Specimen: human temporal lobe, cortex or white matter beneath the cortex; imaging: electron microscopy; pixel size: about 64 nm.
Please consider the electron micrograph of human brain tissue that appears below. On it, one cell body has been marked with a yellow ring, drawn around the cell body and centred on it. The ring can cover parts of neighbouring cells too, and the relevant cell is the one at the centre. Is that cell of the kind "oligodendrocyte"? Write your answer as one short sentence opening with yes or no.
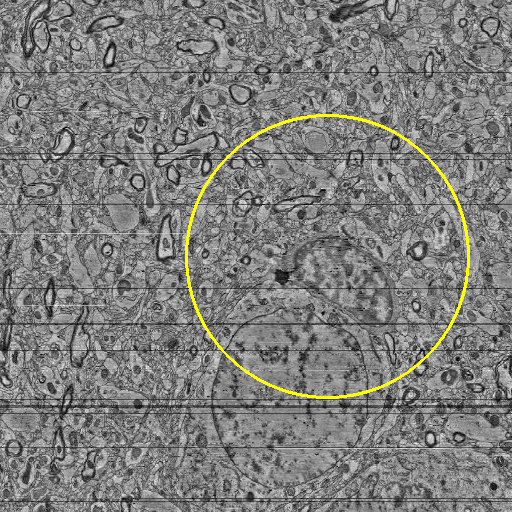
Yes, it is of that kind.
